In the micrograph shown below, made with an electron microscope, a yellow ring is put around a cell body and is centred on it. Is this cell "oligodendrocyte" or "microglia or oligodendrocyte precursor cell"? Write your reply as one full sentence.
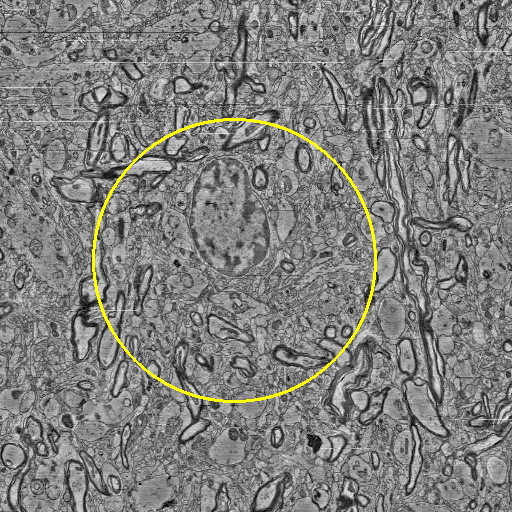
In the micrograph, a microglial cell or oligodendrocyte precursor cell is the cell at the centre of the yellow ring.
